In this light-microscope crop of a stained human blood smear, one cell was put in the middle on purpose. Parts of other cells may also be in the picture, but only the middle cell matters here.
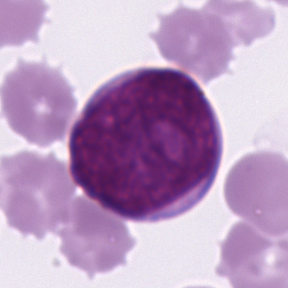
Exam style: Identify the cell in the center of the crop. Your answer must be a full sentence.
Standing at the centre of this crop is a blast.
